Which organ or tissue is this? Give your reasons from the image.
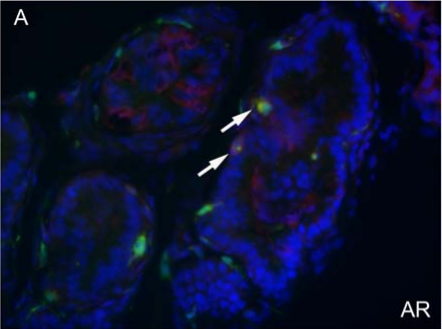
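Rounded glandular acini with central lumens. Each acinus is lined by a layer of epithelial cells with blue nuclei. Thin stroma separates the glands.
Prostate.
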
